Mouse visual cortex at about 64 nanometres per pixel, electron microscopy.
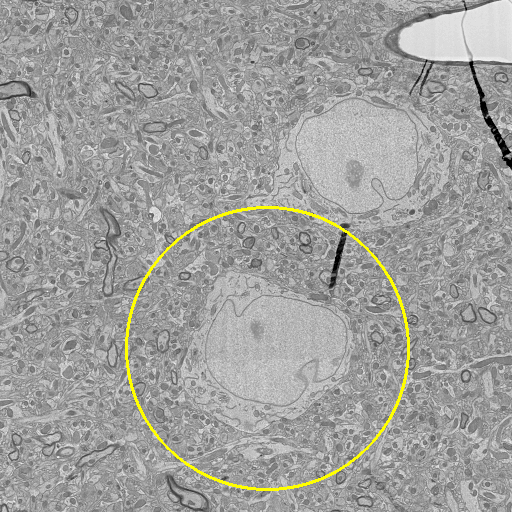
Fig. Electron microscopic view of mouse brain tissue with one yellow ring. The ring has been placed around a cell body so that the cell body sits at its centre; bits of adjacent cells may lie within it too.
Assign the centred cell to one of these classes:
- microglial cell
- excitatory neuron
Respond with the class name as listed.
excitatory neuron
